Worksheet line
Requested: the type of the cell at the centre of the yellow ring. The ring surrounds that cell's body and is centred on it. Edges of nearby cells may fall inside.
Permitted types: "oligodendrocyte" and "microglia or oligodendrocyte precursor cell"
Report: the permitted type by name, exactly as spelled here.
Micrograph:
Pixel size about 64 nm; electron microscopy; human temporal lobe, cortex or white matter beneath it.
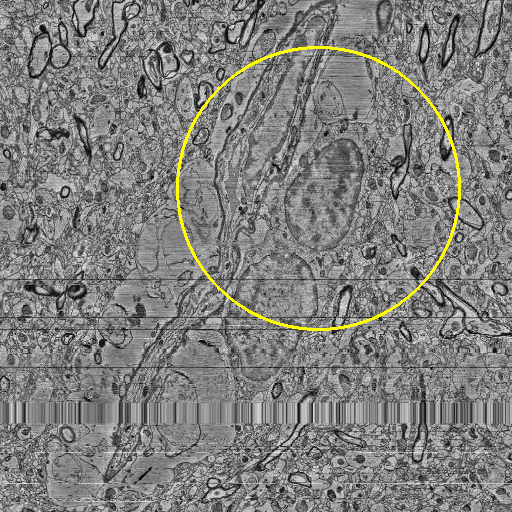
oligodendrocyte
